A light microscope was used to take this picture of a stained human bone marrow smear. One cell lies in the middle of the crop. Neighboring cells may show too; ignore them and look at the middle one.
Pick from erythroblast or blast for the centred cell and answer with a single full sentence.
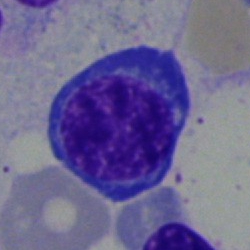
The cell under consideration, at the middle of the crop, is an erythroblast.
